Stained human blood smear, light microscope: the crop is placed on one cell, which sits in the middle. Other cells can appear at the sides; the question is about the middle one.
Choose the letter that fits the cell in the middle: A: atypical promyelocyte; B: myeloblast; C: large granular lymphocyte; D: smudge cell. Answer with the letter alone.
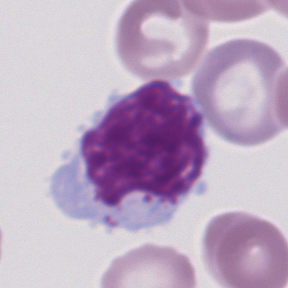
C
